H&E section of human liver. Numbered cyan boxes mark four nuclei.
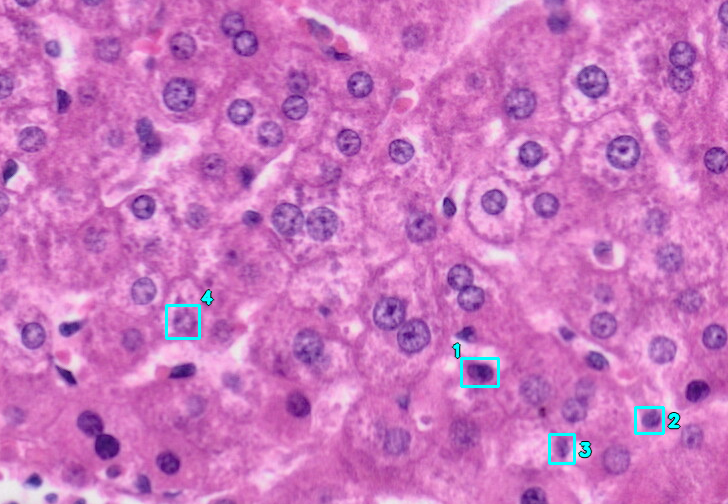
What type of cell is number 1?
Kupffer cell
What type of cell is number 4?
hepatocyte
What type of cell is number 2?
Kupffer cell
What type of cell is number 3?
endothelial cell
